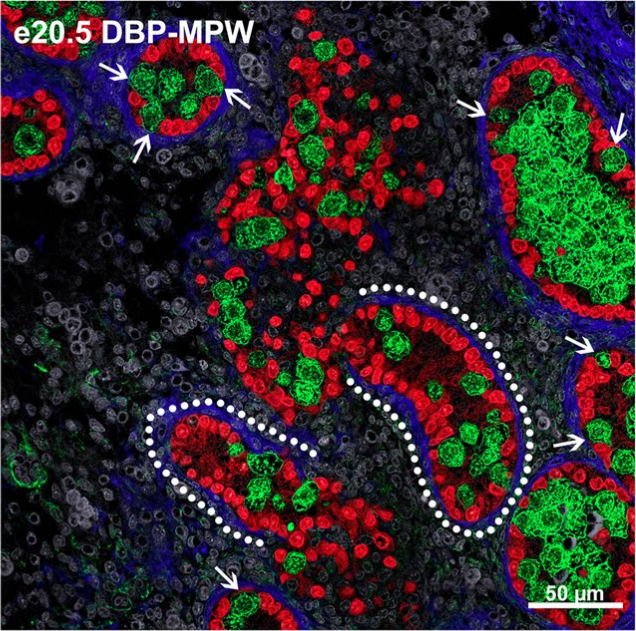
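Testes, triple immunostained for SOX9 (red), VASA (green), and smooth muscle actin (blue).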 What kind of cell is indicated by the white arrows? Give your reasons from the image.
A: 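The arrows point to large round green cells. These cells sit at the outer edge of the cords, against the blue border. On this evidence: germ cells.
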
